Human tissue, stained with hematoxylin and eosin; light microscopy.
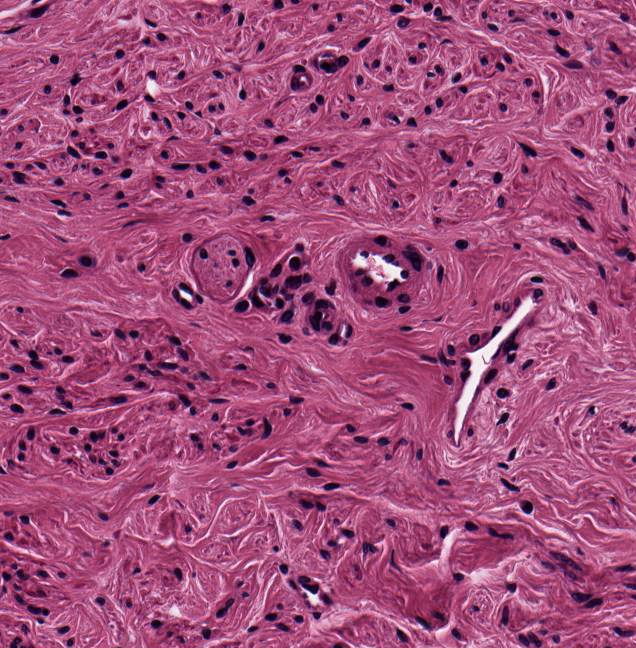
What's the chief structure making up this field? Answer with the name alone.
dense connective tissue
